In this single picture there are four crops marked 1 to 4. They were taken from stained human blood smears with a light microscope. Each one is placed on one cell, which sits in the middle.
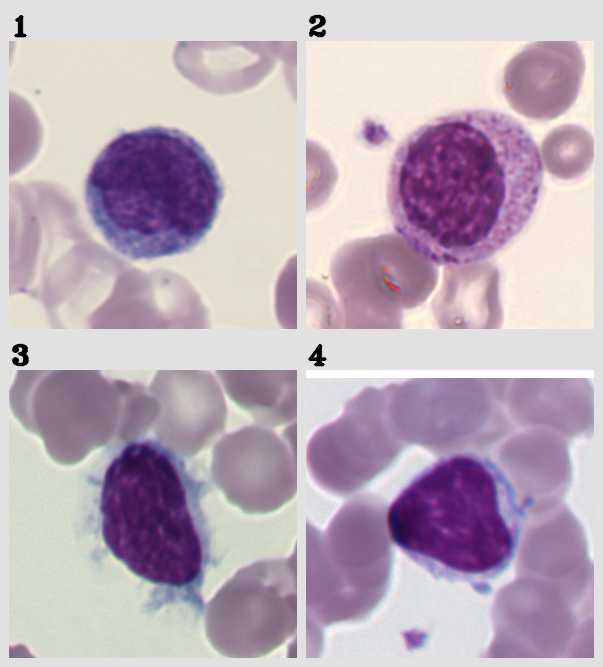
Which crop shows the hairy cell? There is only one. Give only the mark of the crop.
3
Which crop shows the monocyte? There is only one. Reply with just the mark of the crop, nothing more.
1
